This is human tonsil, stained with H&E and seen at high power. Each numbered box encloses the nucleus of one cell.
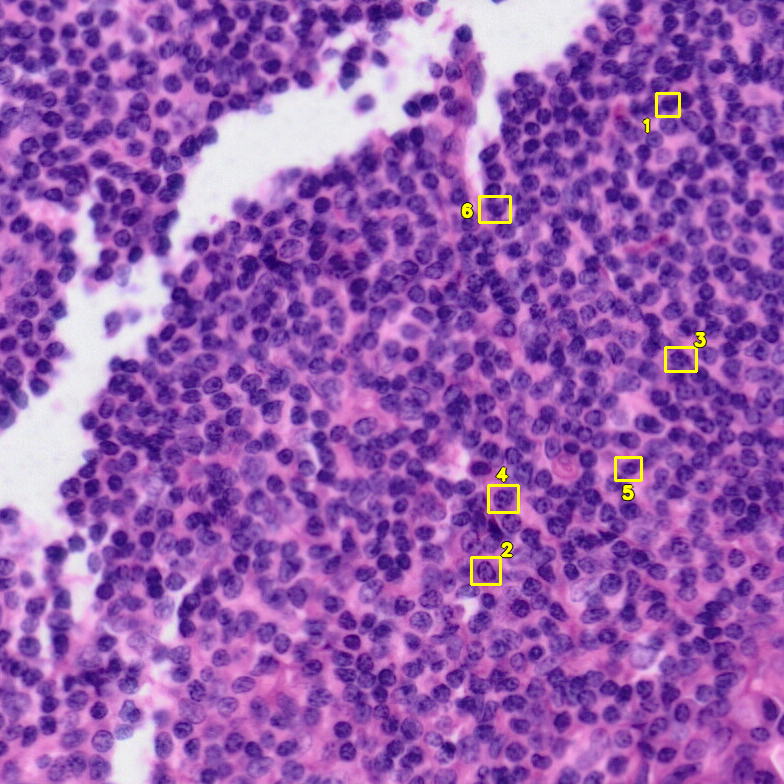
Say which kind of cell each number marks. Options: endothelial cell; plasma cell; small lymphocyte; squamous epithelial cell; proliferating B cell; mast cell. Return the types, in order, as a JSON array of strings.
["small lymphocyte", "plasma cell", "small lymphocyte", "plasma cell", "small lymphocyte", "small lymphocyte"]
